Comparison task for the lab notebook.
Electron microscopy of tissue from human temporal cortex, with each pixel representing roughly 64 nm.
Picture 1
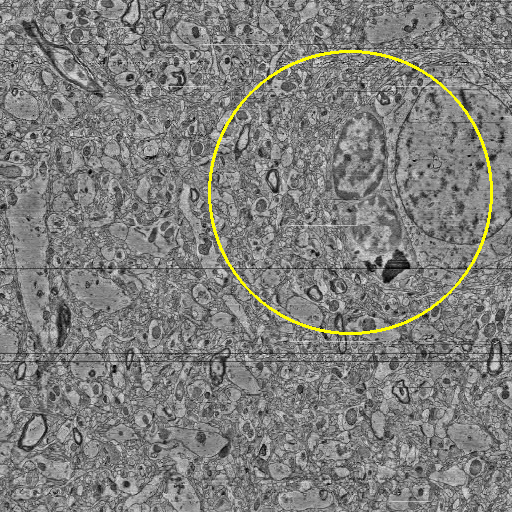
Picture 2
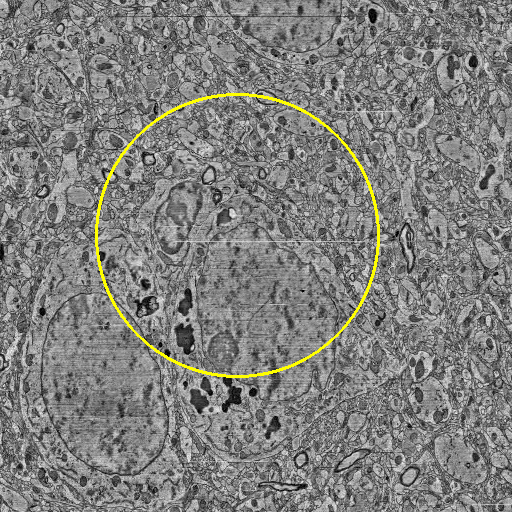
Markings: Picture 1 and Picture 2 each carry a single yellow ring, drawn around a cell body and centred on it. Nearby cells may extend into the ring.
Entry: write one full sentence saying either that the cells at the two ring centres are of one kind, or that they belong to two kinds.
The cells sitting at the ring centres in Picture 1 and Picture 2 belong to two kinds.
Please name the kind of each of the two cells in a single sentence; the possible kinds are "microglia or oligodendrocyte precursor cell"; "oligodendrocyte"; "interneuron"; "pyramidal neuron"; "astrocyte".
In the first picture the ring is centred on an oligodendrocyte, and in the second on an interneuron.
